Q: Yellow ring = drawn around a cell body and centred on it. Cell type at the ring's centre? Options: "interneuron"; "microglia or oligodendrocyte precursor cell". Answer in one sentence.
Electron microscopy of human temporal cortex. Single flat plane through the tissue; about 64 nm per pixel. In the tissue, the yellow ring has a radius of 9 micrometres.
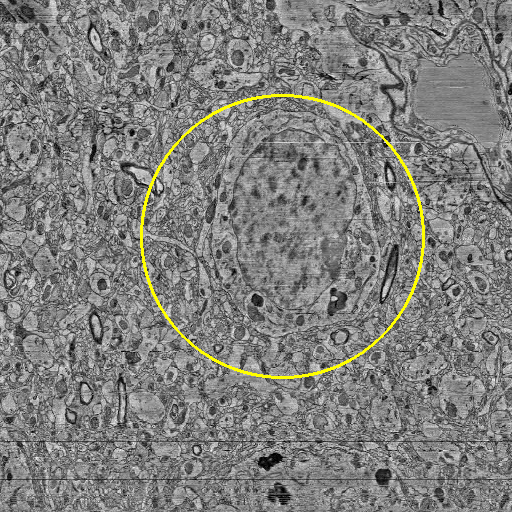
Centred in the ring is an interneuron.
